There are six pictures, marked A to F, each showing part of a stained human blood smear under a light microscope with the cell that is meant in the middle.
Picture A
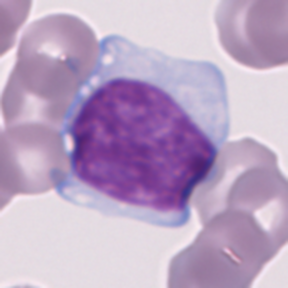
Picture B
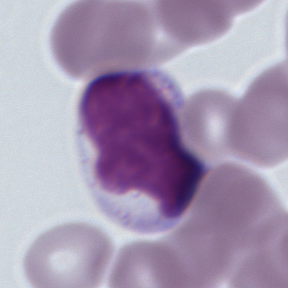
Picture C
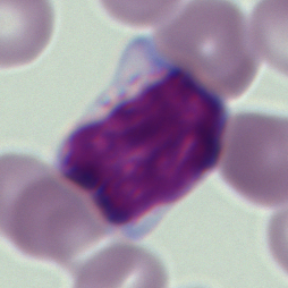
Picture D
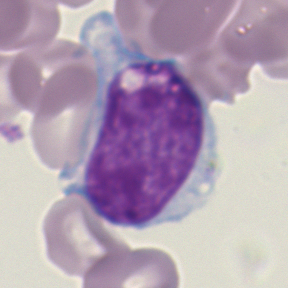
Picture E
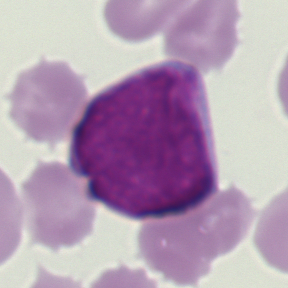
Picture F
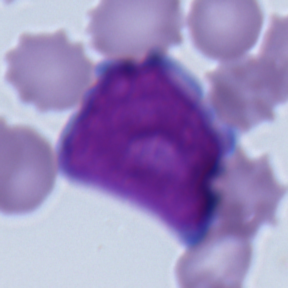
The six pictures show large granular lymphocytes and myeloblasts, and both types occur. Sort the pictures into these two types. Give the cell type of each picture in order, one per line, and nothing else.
myeloblast
large granular lymphocyte
large granular lymphocyte
myeloblast
myeloblast
myeloblast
